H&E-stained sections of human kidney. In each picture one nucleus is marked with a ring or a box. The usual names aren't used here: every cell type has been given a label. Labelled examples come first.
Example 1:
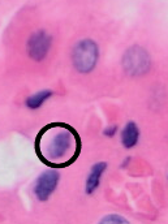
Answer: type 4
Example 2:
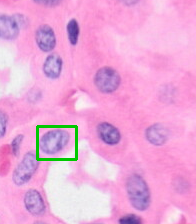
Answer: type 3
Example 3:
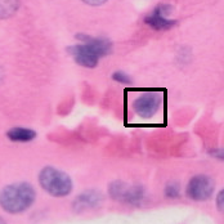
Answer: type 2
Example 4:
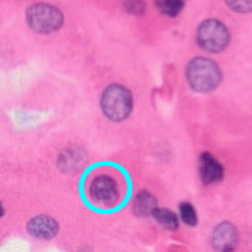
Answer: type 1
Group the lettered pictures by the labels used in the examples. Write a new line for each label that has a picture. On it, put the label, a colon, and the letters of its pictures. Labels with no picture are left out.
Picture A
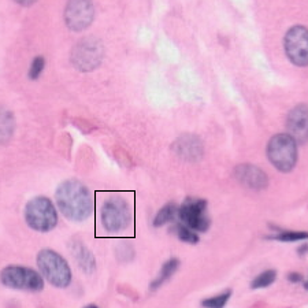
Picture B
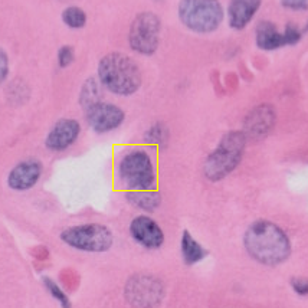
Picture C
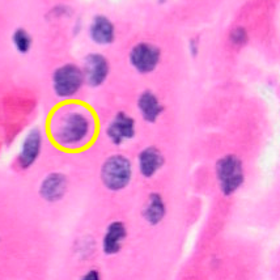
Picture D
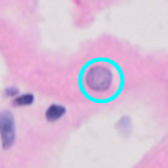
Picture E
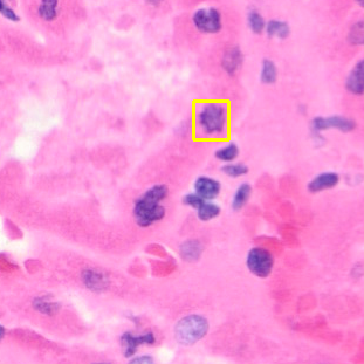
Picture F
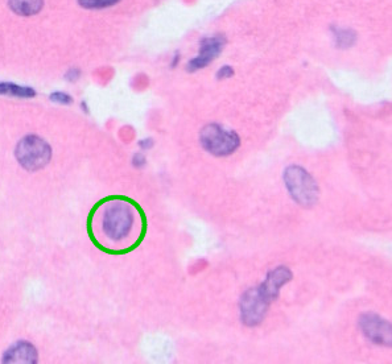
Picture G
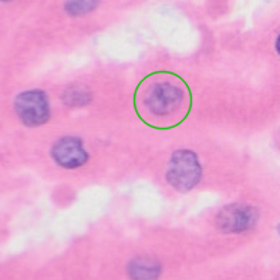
type 4: C
type 3: A, B
type 1: D, E, F, G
